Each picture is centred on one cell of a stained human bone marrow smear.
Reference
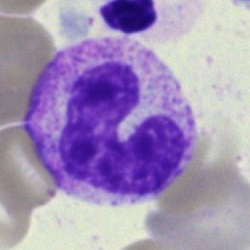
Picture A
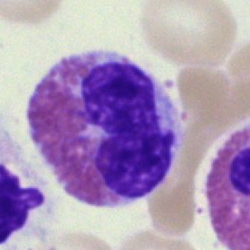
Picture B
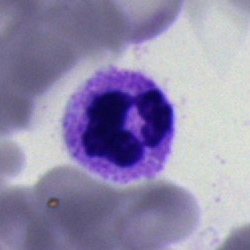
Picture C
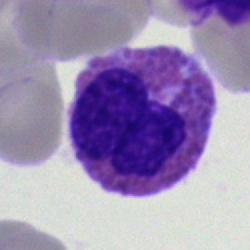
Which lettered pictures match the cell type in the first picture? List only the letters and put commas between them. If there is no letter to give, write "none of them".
none of them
